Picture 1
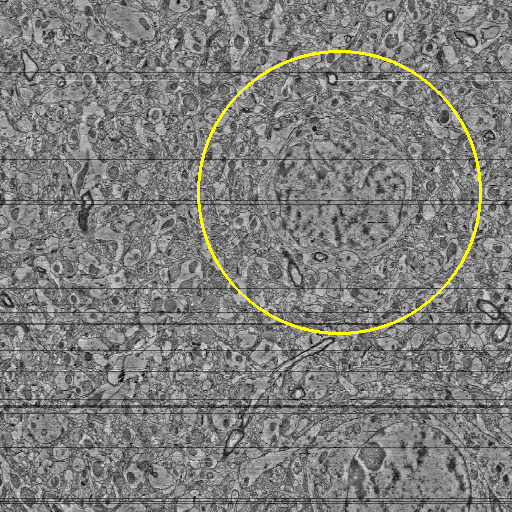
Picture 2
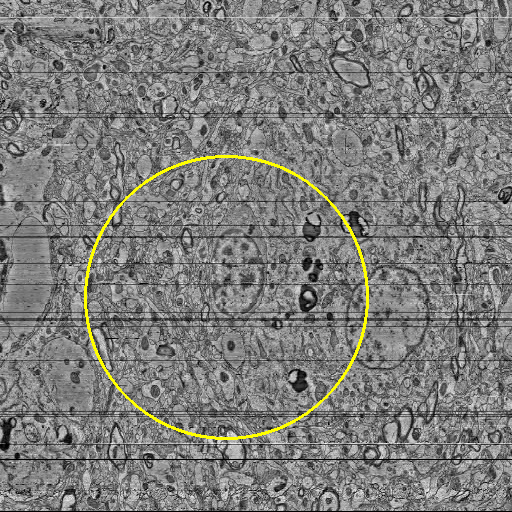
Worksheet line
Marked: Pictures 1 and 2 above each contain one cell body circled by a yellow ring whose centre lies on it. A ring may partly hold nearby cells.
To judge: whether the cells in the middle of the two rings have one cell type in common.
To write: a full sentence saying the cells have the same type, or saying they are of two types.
The cells in the middle of the rings in Picture 1 and Picture 2 are of two types.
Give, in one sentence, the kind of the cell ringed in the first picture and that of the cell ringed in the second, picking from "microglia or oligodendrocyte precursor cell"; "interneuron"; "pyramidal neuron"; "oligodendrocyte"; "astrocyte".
For the first picture it is an interneuron; for the second, an oligodendrocyte.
